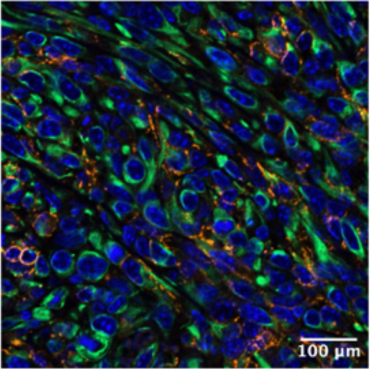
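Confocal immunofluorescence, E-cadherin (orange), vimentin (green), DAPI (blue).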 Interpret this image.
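Nuclei are blue, oval to elongated, and many cells are rimmed or filled with green cytoplasmic staining. Orange staining is patchy, outlining the borders of only some cell groups. Cells in much of the field are elongated and aligned in streams running diagonally across the section.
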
